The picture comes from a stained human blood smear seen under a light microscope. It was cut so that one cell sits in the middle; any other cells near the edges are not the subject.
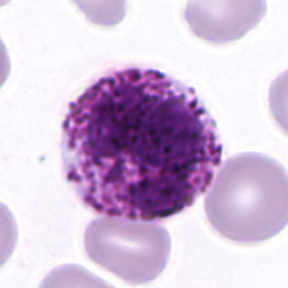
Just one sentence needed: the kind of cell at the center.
The cell at the middle of the frame should be recorded as a basophil.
